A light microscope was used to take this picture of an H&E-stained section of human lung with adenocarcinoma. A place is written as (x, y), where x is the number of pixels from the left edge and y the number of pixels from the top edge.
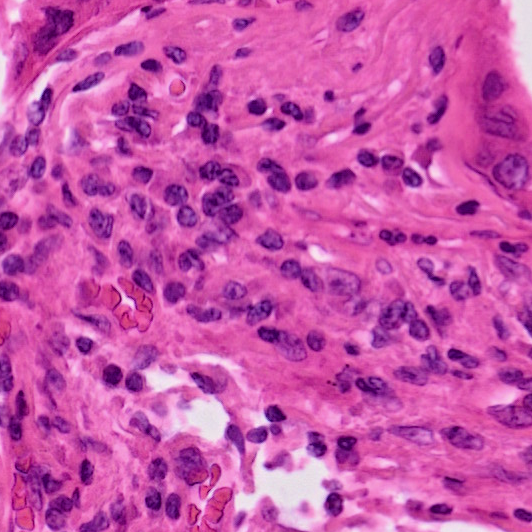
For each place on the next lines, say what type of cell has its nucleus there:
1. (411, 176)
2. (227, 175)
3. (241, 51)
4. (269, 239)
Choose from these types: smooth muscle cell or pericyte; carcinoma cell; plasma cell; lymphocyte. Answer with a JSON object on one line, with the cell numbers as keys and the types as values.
{"1": "lymphocyte", "2": "plasma cell", "3": "lymphocyte", "4": "lymphocyte"}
